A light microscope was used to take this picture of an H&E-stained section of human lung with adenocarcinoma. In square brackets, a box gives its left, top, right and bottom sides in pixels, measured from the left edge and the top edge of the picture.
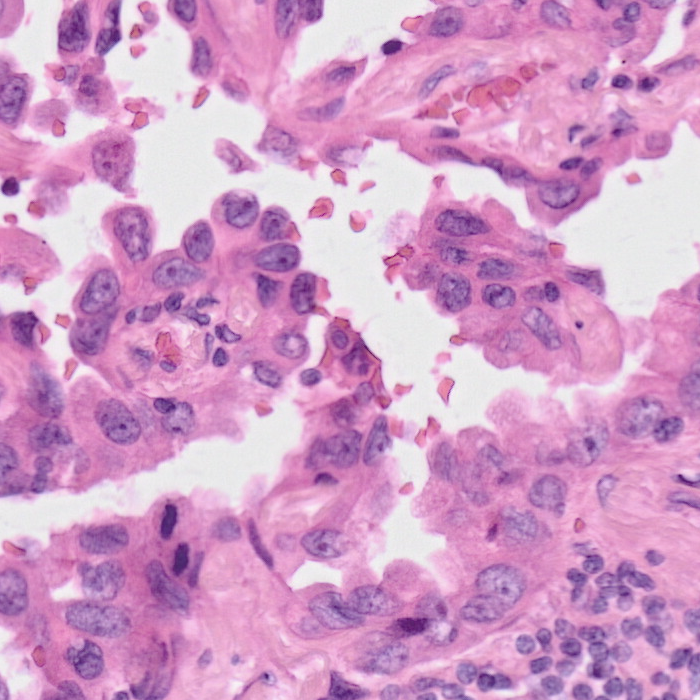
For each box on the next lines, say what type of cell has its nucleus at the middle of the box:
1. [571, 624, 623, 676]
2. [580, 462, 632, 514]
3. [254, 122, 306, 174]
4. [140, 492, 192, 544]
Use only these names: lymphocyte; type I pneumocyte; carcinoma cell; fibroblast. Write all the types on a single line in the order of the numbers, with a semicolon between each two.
lymphocyte; fibroblast; carcinoma cell; carcinoma cell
